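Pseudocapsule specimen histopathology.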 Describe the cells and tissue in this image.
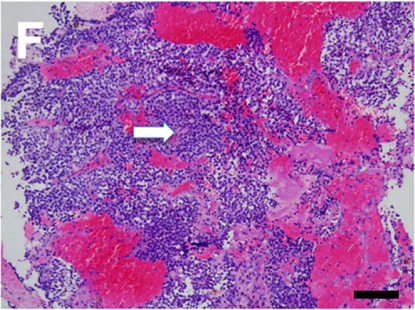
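The field is crowded with small cells bearing round, dark purple nuclei and little visible cytoplasm, packed in irregular clusters and sheets. Scattered between them are bright red, homogeneous patches, consistent with blood, some quite large, and a few pale pink strands. The cells show little variation in size, and no organised layered or glandular pattern is evident; the overall impression is of a dense, disordered cellular mass interrupted by red areas.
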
